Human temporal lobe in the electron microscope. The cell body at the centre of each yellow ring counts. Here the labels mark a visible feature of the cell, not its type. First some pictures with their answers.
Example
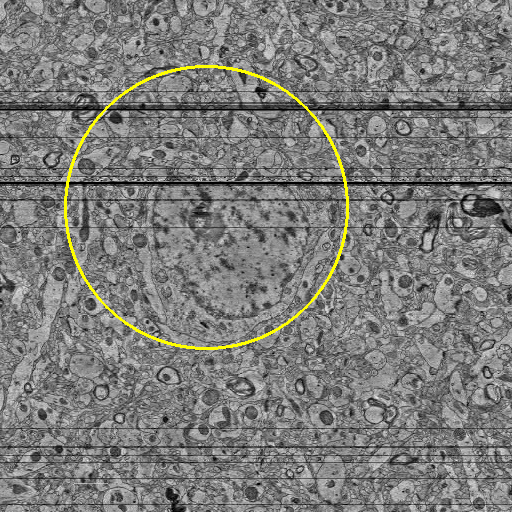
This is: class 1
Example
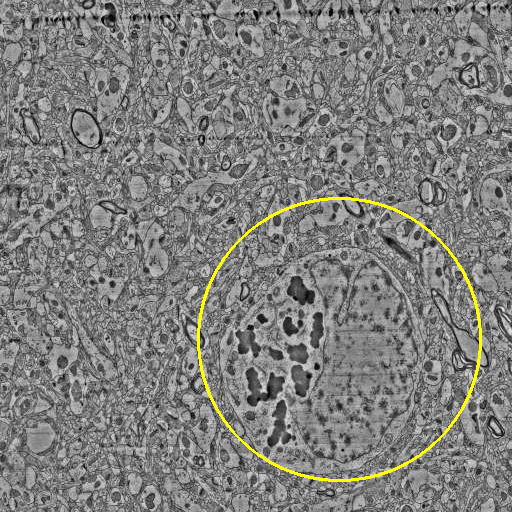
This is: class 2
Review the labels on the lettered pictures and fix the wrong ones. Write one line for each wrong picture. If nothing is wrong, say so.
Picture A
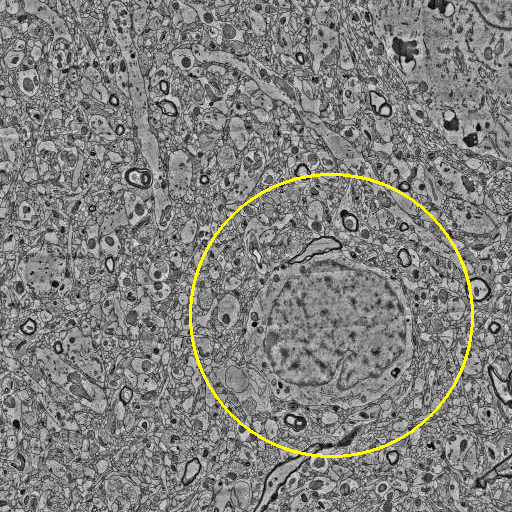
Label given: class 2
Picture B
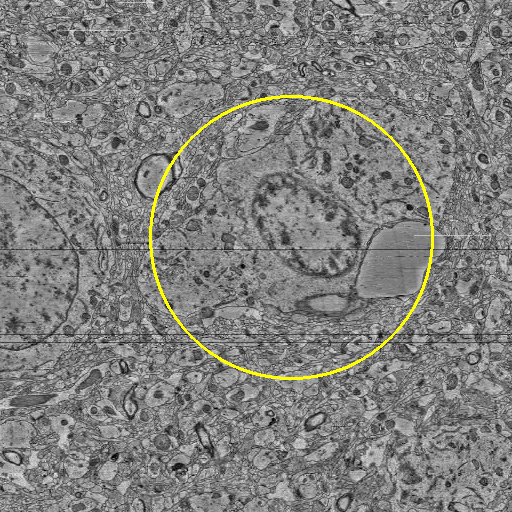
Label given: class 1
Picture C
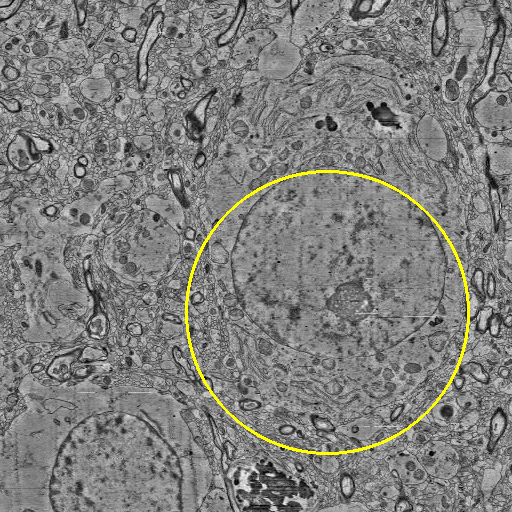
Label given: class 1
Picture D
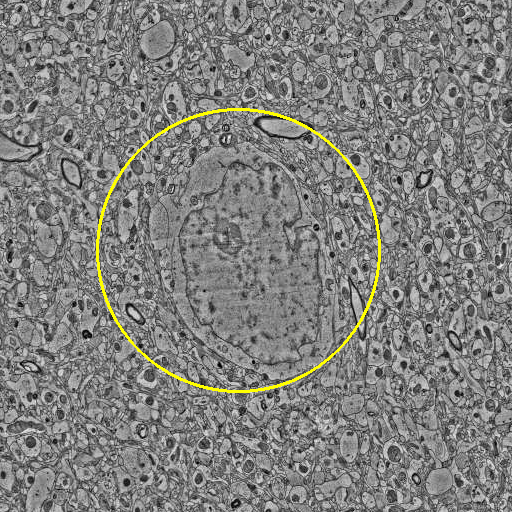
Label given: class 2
All labels are correct.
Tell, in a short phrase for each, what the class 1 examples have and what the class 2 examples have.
class 1: smooth nuclear envelopes without deep folds; class 2: deeply folded or indented nuclear envelopes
